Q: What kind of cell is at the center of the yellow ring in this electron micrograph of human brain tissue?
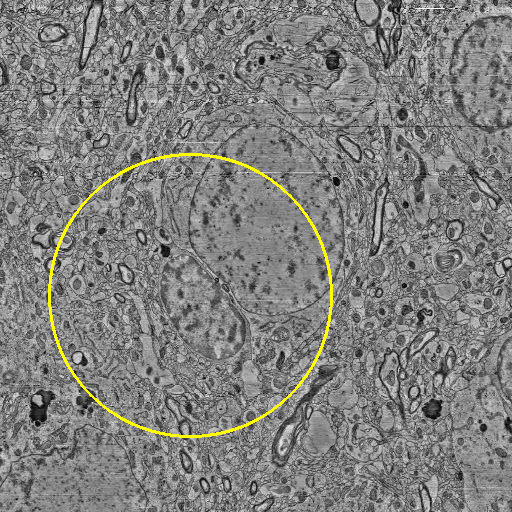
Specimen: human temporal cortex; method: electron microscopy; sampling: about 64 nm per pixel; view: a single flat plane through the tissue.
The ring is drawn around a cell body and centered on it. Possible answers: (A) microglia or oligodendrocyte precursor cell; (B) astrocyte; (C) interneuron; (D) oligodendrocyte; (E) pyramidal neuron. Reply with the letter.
D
